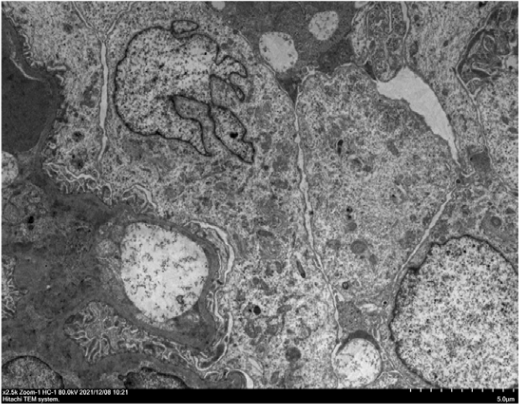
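This electron micrograph shows glomerular tissue in which large cells with pale, finely granular nuclei fill most of the field. One nucleus at the upper left is deeply folded into several lobes outlined by a dark nuclear envelope. Round pale capillary lumens are bounded by dark grey basement membrane bands. Along much of the cell surface the regular comb-like row of small foot processes is missing, and the cytoplasm lies broadly against the membrane, with only a few small projections remaining at the lower left.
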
